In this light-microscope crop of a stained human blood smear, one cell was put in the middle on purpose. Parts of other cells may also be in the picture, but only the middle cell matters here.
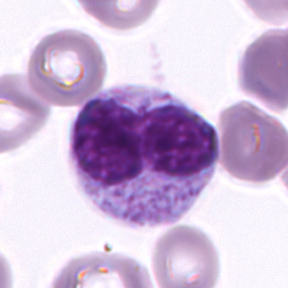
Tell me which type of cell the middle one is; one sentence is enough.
The cell in the middle of the field of view is a band neutrophil.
